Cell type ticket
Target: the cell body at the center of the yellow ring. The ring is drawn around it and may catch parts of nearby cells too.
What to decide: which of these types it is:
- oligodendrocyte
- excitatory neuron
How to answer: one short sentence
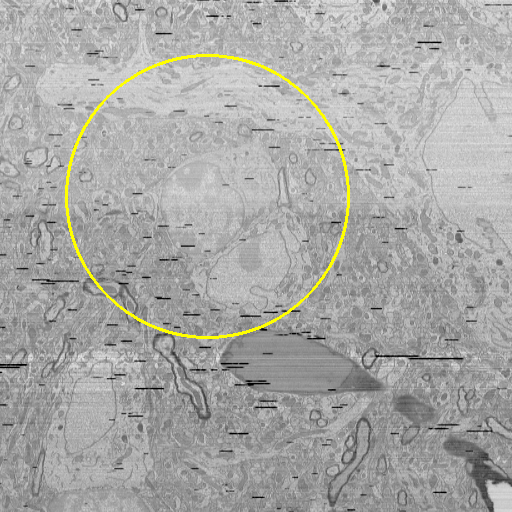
The cell at the center of the ring is an oligodendrocyte.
